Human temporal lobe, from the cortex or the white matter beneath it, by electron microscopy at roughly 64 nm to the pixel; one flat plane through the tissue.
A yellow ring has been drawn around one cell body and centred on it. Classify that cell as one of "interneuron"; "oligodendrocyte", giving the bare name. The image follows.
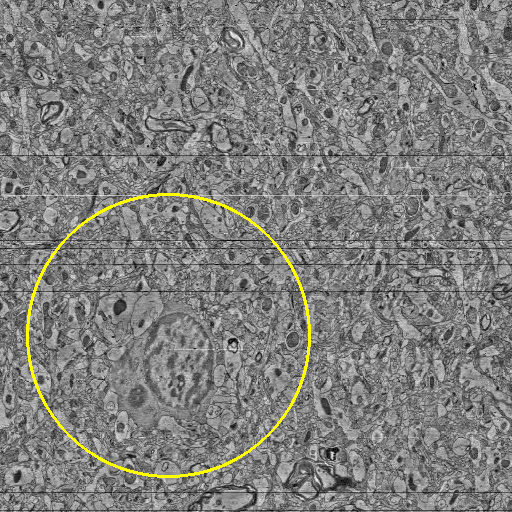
oligodendrocyte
